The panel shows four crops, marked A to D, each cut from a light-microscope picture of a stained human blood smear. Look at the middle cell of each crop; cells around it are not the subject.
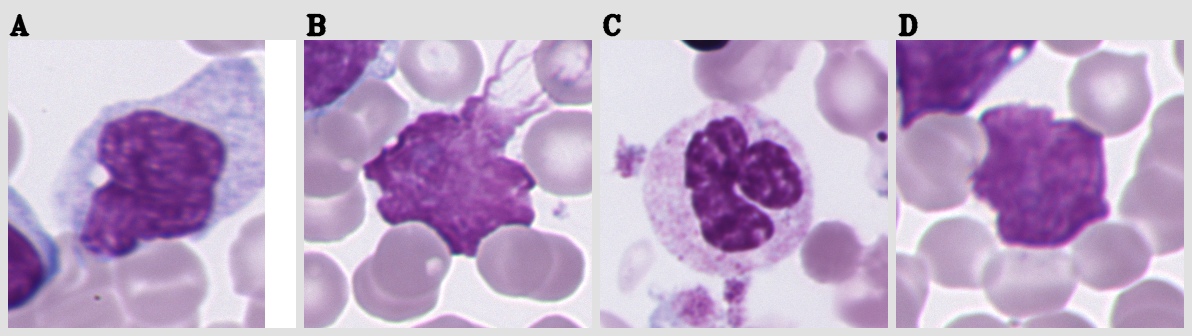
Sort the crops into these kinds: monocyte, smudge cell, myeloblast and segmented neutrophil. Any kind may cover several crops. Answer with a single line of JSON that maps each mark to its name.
{"A": "monocyte", "B": "smudge cell", "C": "segmented neutrophil", "D": "smudge cell"}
